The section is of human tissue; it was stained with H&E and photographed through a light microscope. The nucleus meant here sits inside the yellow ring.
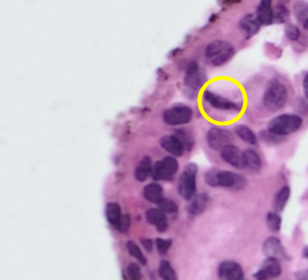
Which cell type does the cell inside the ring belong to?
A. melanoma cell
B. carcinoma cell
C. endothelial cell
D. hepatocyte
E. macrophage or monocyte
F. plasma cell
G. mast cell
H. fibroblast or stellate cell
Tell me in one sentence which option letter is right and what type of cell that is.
Of all the options, E is right, since the cell inside the ring is a macrophage or monocyte.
